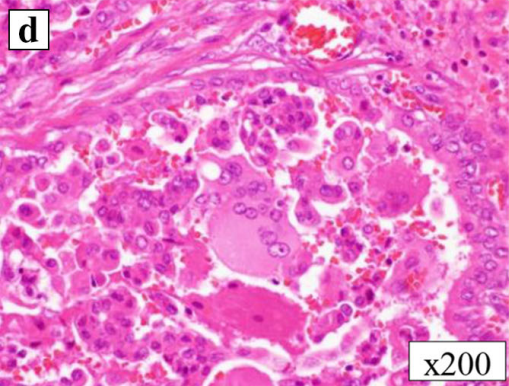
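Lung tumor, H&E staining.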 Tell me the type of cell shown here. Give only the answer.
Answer: multinucleated cells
